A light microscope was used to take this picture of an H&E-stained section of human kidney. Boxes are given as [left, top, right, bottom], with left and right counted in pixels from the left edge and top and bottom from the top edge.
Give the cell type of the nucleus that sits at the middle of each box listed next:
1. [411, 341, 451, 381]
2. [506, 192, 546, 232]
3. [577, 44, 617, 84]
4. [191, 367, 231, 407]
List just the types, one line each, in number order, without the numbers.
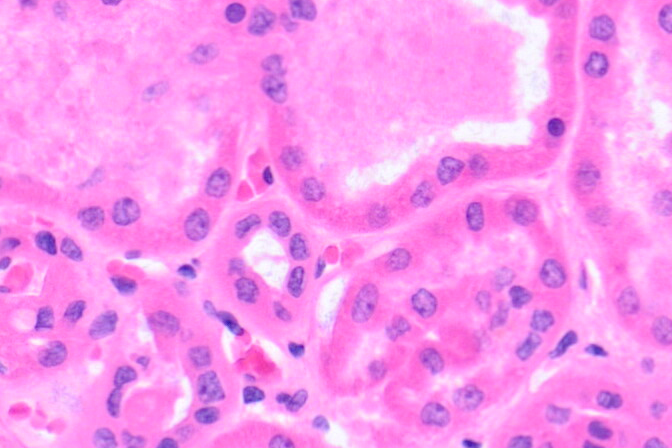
proximal tubule cell
proximal tubule cell
proximal tubule cell
collecting duct cell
